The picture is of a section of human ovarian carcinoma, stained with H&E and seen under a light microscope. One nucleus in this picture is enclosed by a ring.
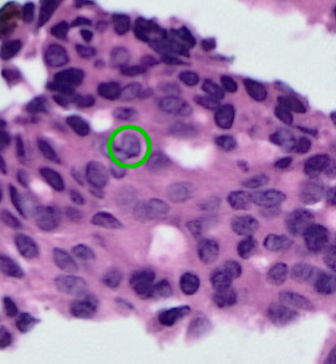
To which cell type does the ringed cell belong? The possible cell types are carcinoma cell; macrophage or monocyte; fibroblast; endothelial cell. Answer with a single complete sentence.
Typologically, the ringed cell is a macrophage or monocyte in this section.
